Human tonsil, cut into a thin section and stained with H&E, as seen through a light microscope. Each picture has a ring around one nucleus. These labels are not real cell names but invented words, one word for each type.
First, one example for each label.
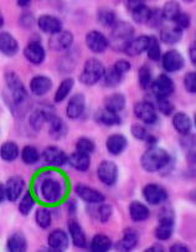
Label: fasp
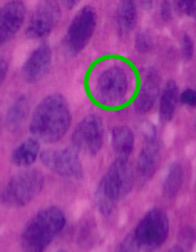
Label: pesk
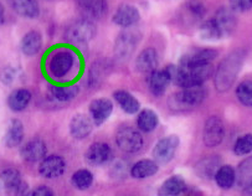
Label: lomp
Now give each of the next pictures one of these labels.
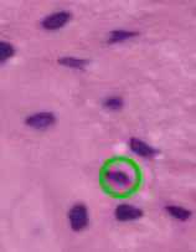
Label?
pesk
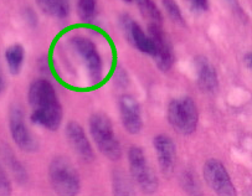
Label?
pesk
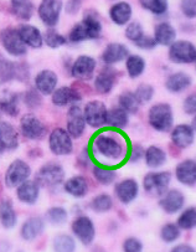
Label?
fasp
